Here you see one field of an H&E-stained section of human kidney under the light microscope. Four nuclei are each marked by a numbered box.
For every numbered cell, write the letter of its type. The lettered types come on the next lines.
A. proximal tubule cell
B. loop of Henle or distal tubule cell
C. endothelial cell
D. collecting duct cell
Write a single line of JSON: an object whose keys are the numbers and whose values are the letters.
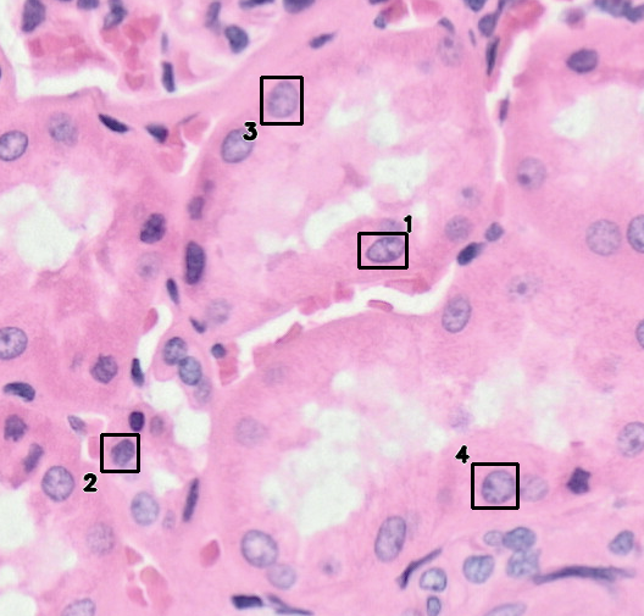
{"1": "A", "2": "D", "3": "A", "4": "A"}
